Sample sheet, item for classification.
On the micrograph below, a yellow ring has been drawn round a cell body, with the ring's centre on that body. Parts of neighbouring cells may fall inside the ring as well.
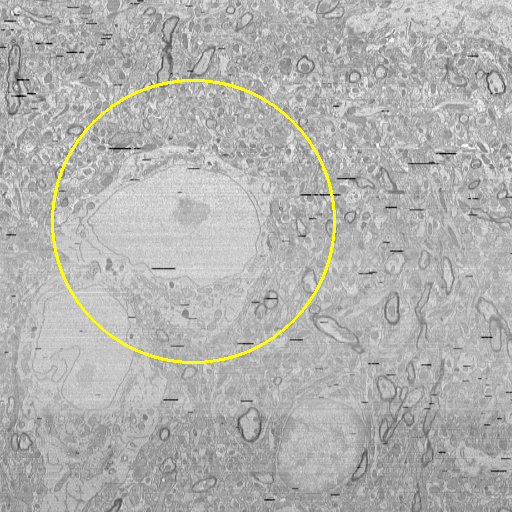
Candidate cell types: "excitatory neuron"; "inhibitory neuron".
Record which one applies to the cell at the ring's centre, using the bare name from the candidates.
excitatory neuron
